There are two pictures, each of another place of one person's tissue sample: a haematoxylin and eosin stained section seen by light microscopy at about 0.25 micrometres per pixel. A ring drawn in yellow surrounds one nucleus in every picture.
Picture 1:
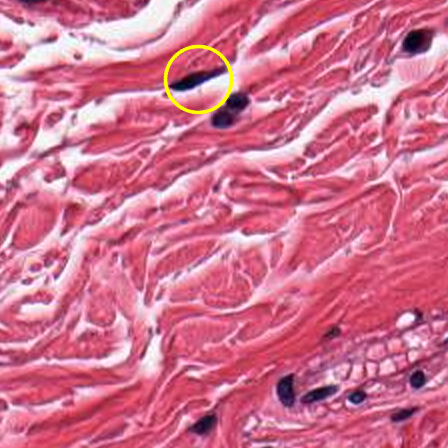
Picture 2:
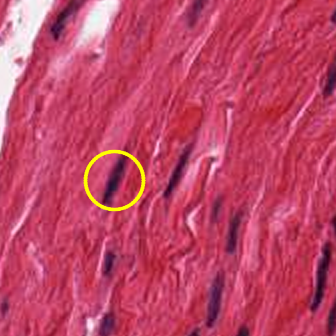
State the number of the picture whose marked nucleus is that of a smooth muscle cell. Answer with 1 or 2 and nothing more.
2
